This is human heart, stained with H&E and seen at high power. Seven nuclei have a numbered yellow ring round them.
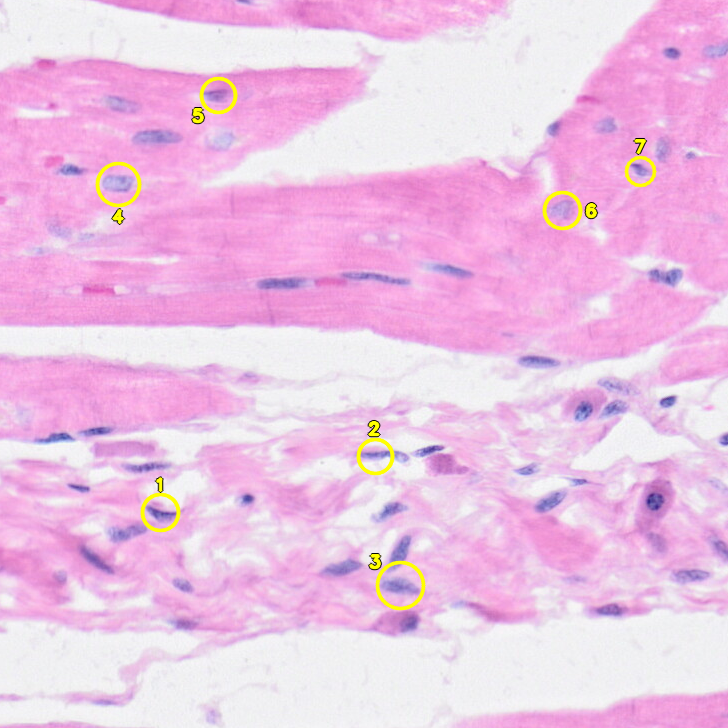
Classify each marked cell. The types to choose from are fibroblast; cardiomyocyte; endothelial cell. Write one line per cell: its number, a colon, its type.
1: fibroblast
2: fibroblast
3: fibroblast
4: cardiomyocyte
5: endothelial cell
6: cardiomyocyte
7: endothelial cell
